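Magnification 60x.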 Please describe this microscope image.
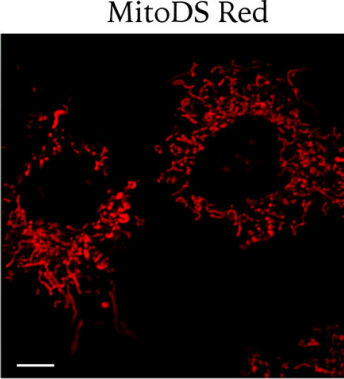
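In each cell the red structures form a dense network of elongated, curved and branched tubules mixed with shorter rods and small round dots. They fill the cytoplasm in a ring around a dark, unlabelled oval region at the cell centre where the nucleus lies. The network is densest close to this central region and thins toward the cell edges.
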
